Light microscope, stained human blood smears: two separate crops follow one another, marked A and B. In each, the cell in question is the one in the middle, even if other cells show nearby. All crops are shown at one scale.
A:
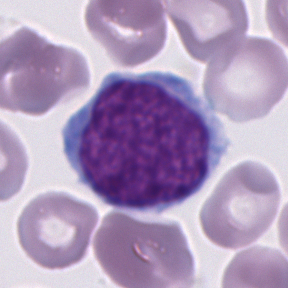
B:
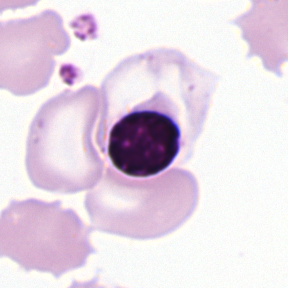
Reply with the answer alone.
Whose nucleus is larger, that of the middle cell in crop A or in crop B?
A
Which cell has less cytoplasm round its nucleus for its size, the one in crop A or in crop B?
A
